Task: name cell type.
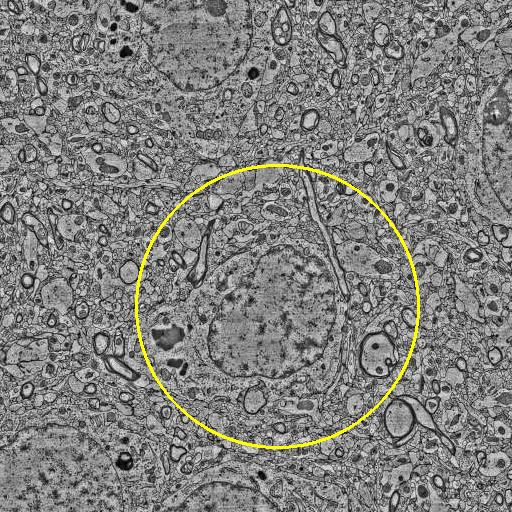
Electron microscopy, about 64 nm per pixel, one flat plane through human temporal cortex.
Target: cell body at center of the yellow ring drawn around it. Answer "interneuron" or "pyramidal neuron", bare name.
interneuron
